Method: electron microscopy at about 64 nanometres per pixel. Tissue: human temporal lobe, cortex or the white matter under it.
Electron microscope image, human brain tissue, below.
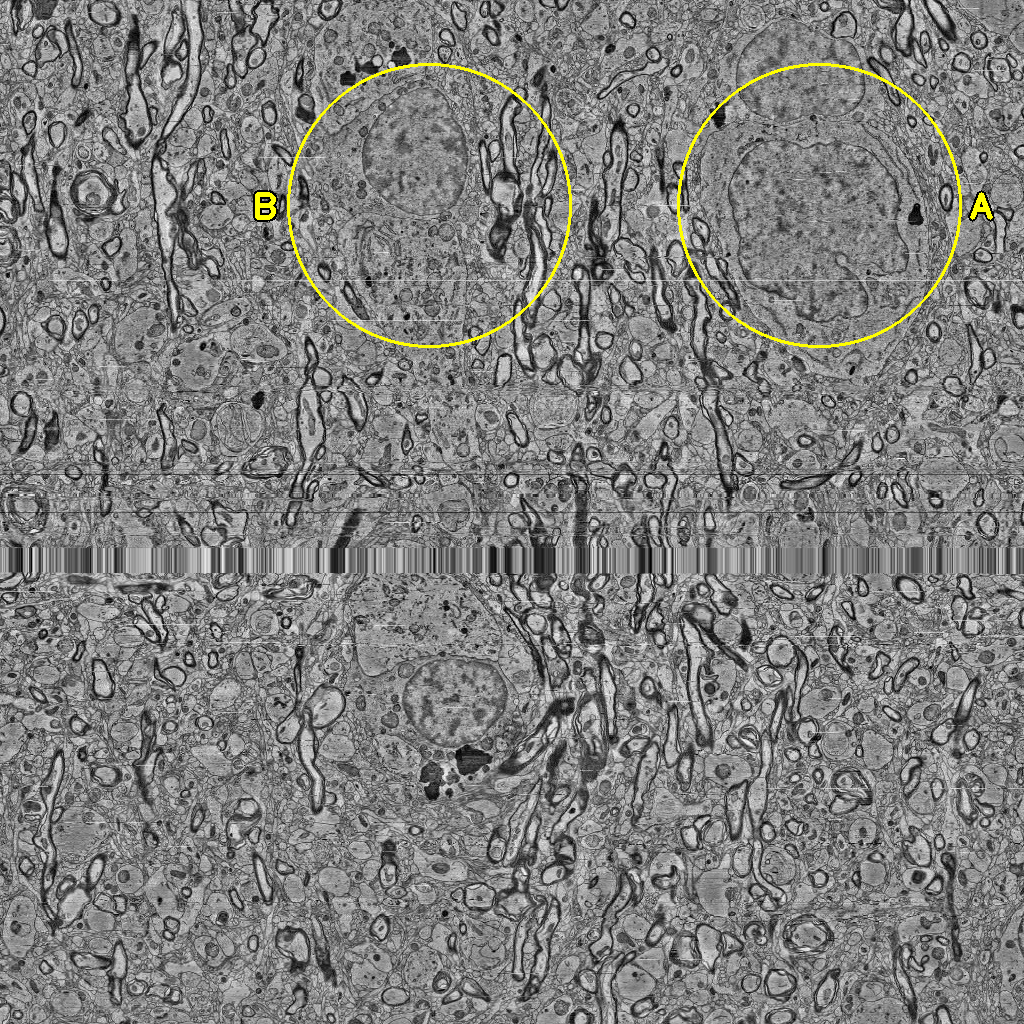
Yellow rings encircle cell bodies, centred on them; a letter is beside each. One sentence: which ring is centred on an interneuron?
It is ring A.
